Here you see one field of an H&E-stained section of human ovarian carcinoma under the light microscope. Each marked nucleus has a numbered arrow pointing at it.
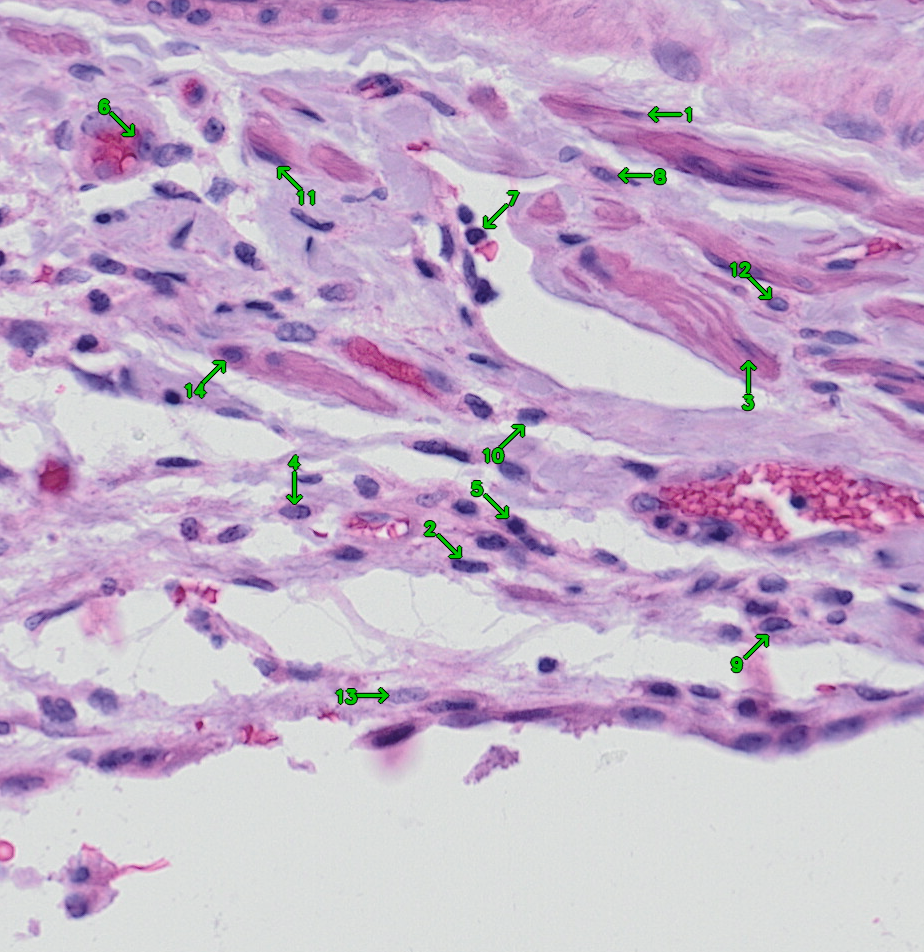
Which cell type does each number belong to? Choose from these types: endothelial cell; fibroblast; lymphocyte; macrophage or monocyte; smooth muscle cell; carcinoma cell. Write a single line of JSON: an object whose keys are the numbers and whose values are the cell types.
{"1": "smooth muscle cell", "2": "macrophage or monocyte", "3": "smooth muscle cell", "4": "macrophage or monocyte", "5": "lymphocyte", "6": "endothelial cell", "7": "lymphocyte", "8": "endothelial cell", "9": "macrophage or monocyte", "10": "macrophage or monocyte", "11": "smooth muscle cell", "12": "endothelial cell", "13": "fibroblast", "14": "smooth muscle cell"}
